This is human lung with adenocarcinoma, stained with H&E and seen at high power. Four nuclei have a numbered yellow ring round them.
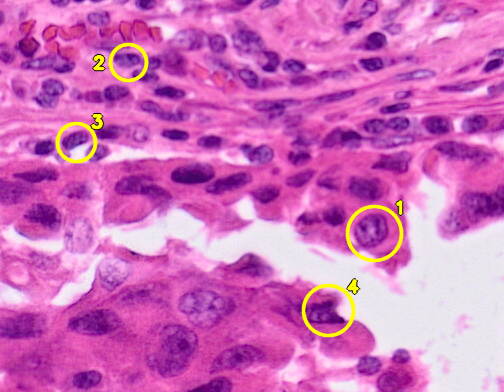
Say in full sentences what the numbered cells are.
Cells 1 and 4 are carcinoma cells. Cells 2 and 3 are lymphocytes.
